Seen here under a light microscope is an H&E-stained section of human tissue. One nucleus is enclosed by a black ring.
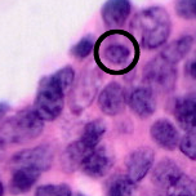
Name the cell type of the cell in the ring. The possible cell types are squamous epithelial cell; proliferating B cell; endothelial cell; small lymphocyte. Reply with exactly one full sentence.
Speaking plainly, the cell in the ring is nothing other than a proliferating B cell.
